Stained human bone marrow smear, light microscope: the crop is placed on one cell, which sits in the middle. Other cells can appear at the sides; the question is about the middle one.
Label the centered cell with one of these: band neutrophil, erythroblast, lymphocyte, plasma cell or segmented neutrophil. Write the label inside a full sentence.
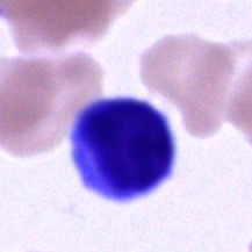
Present in the middle of the crop is a lymphocyte.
